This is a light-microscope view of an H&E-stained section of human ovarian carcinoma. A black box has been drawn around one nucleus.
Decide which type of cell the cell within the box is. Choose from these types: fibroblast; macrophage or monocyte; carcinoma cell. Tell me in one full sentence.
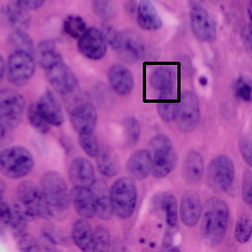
In this section, the cell within the box is a carcinoma cell.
